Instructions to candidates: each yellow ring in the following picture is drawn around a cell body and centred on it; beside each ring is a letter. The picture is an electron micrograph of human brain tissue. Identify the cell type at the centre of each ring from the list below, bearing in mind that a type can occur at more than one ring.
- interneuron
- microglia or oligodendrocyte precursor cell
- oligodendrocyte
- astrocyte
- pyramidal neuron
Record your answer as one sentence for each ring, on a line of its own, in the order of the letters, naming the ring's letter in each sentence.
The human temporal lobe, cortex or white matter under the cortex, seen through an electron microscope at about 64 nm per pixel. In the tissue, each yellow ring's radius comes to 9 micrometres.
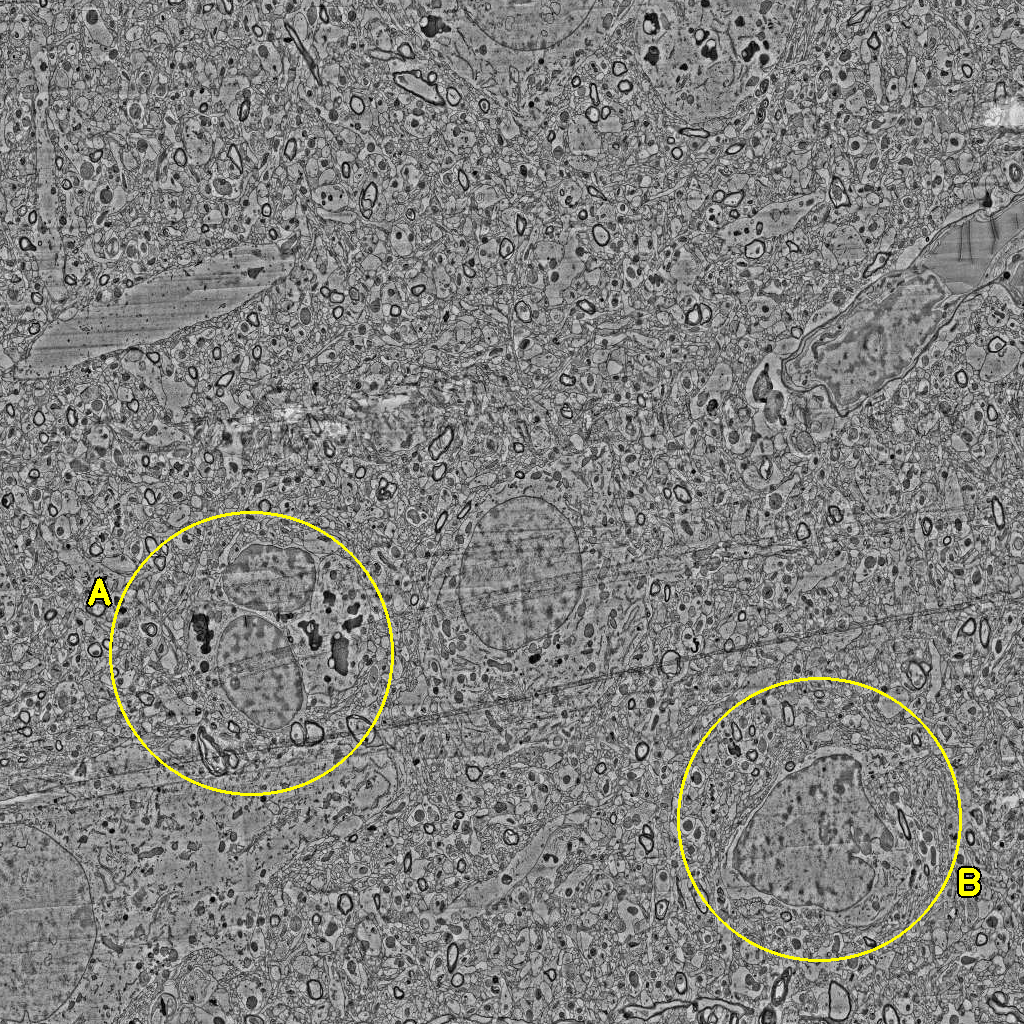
The cell centred in ring A is an oligodendrocyte.
The cell centred in ring B is a microglial cell or oligodendrocyte precursor cell.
